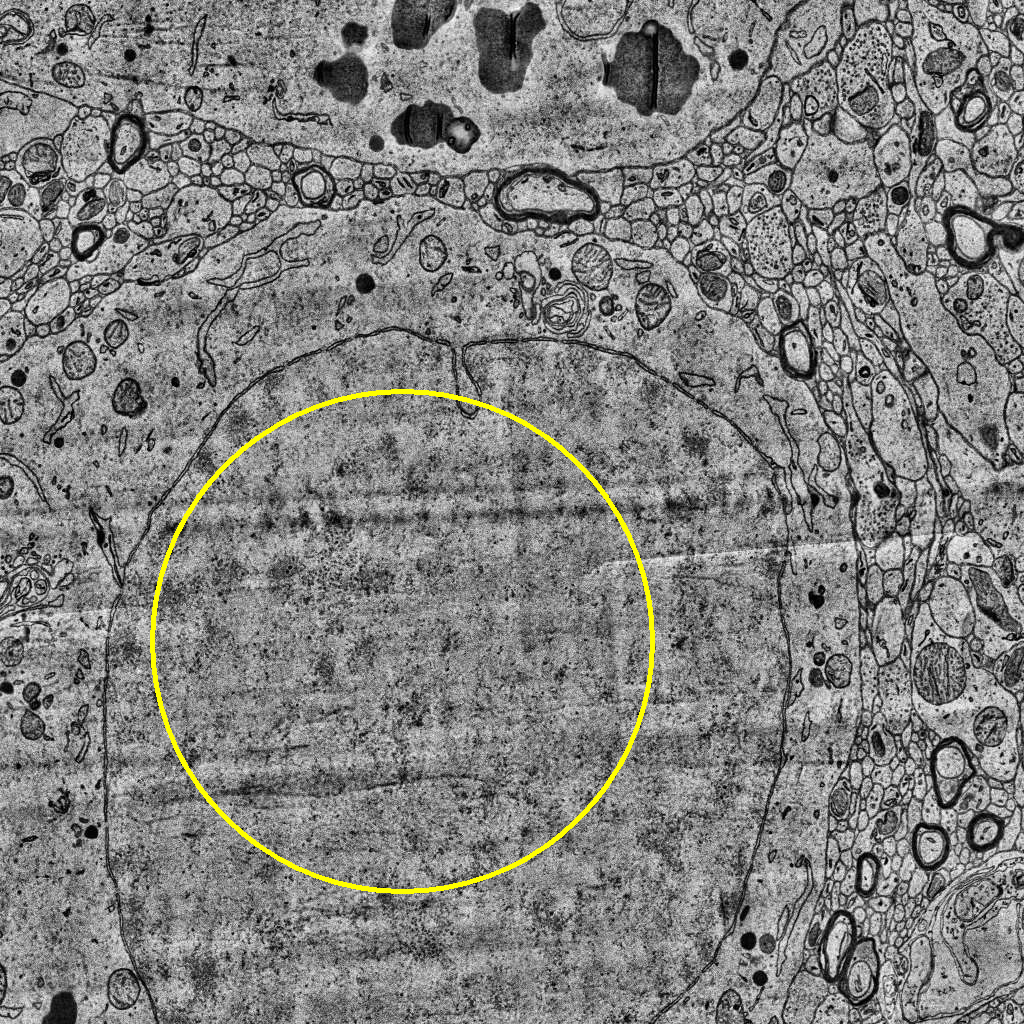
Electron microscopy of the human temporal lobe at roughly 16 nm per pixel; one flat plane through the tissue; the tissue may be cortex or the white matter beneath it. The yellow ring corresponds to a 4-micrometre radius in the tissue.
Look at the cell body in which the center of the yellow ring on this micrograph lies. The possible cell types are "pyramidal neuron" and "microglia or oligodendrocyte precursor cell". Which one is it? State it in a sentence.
The cell at the middle of the ring is a pyramidal neuron.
